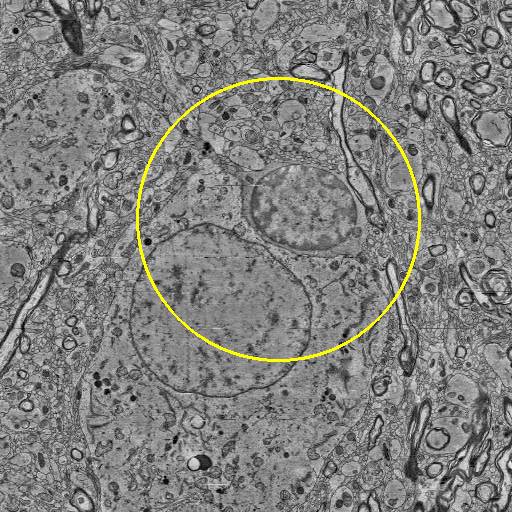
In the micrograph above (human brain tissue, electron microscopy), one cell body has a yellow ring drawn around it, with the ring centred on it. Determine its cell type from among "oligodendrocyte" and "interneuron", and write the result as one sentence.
The cell whose body is ringed is an oligodendrocyte.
